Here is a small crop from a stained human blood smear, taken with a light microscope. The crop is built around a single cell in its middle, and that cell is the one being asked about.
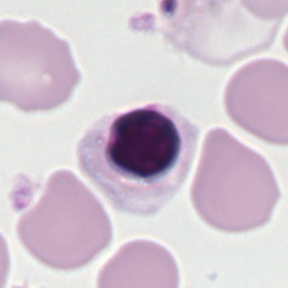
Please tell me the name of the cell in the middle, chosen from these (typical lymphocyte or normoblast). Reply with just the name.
normoblast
